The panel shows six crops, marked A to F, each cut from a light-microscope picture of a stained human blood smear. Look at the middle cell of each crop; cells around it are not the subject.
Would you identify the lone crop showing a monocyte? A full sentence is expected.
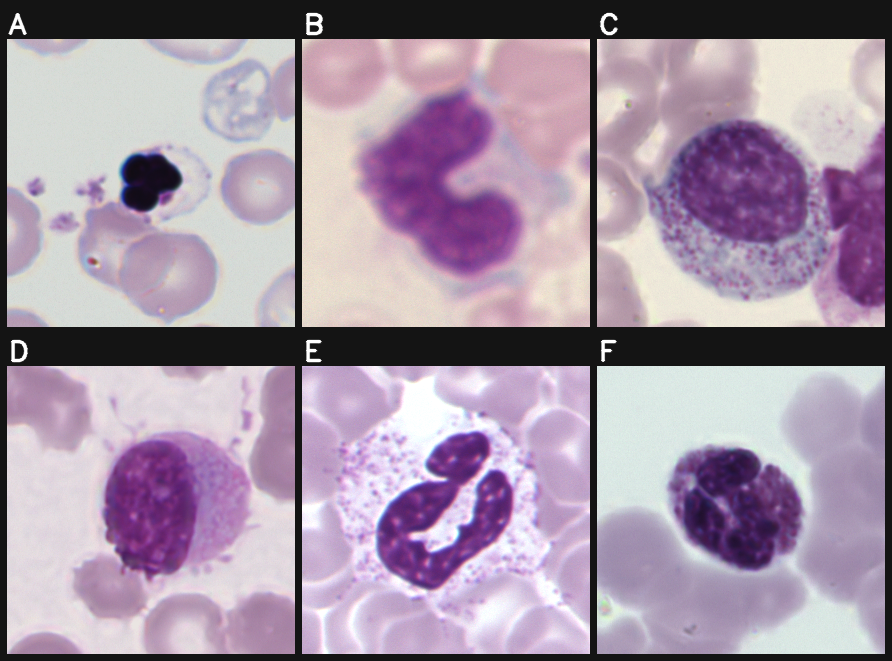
Crop B is identified as the crop showing a monocyte.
